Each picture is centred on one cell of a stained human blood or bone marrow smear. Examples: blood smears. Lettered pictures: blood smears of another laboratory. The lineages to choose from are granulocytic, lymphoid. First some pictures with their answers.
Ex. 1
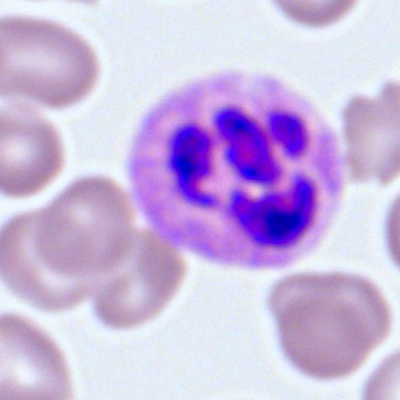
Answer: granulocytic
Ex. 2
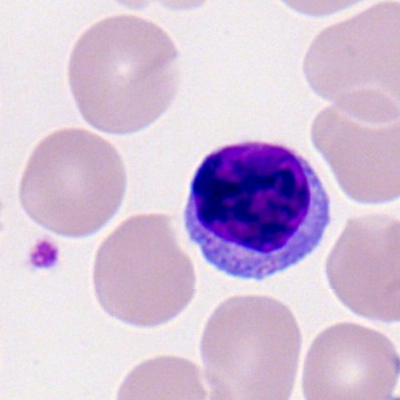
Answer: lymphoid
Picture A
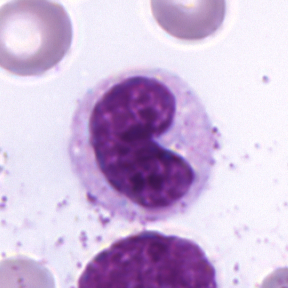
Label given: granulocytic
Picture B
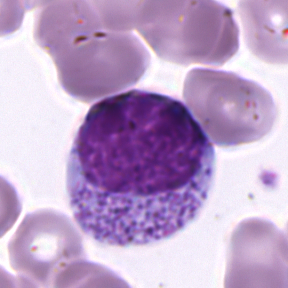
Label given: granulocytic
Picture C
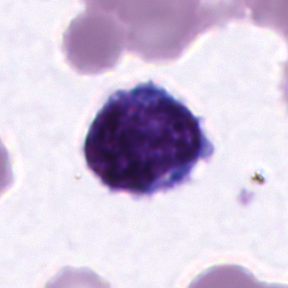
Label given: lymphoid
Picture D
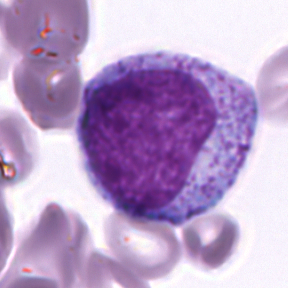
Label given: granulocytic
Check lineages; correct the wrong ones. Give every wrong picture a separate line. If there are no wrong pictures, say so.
None of the labels needs changing.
